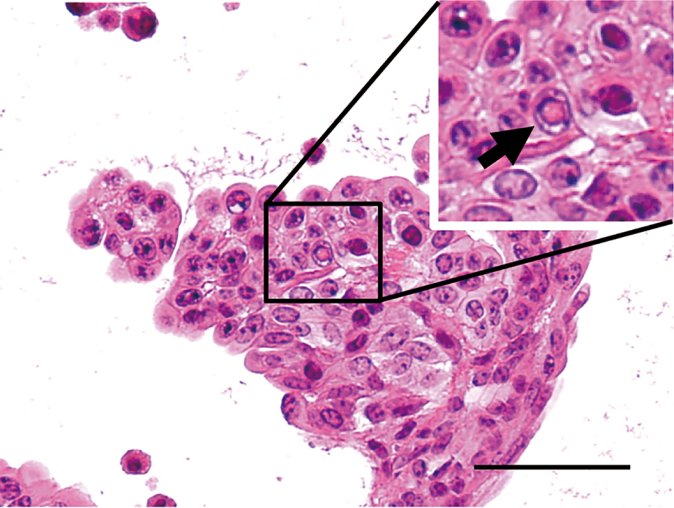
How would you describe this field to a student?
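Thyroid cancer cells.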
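A small cluster of epithelial cells projects into an empty space, with loose cell groups floating beside it. The cells have moderate pink cytoplasm and large round to oval nuclei, some dark and some pale, with prominent nuclear membranes. In the enlarged inset, one nucleus holds a round, sharply bordered body, paler and pinker than the chromatin around it and resembling cytoplasm enclosed within the nucleus.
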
